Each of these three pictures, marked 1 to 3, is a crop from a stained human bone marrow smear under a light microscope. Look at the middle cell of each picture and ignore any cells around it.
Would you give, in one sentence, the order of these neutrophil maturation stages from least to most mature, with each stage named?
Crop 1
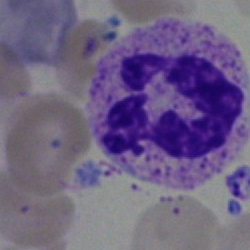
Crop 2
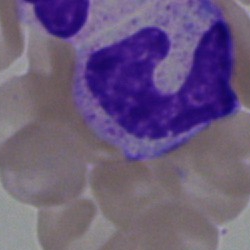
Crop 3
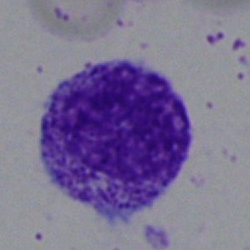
Moving up in maturity, the order goes crop 3 (a myelocyte), crop 2 (a band neutrophil) and crop 1 (a segmented neutrophil).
